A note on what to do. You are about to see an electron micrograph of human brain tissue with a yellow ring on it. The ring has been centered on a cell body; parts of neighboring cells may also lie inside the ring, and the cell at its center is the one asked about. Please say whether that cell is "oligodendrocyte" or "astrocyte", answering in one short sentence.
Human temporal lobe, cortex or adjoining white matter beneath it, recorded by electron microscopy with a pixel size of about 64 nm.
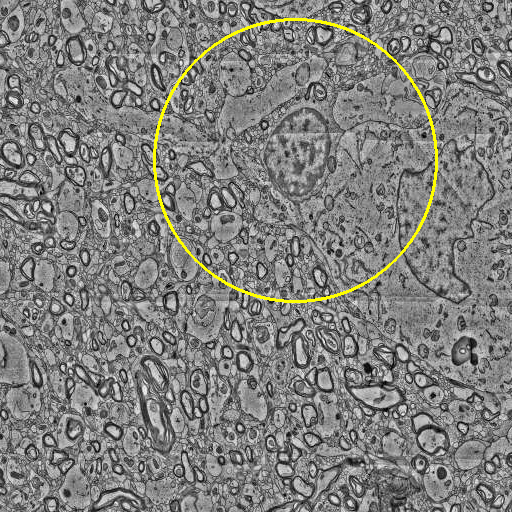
The yellow ring sits on an oligodendrocyte.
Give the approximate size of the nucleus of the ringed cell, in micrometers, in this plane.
The nucleus of the ringed cell is approximately 5 by 4 micrometres in this plane.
